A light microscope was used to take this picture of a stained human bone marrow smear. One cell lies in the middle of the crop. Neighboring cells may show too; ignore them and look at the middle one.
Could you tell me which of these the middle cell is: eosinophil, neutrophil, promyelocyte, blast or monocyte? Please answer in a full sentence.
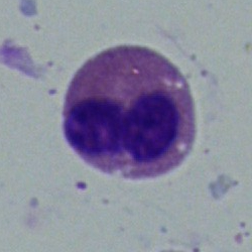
The cell of interest, in the center, is an eosinophil.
